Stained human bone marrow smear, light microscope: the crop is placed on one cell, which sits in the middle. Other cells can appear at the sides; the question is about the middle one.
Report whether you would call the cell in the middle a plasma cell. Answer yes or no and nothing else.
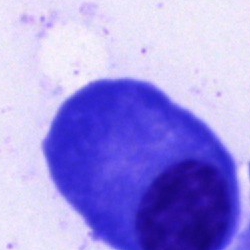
yes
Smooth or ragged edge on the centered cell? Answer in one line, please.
The membrane contour is even and smooth, with nothing projecting from it.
